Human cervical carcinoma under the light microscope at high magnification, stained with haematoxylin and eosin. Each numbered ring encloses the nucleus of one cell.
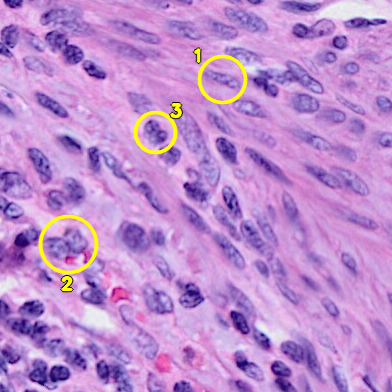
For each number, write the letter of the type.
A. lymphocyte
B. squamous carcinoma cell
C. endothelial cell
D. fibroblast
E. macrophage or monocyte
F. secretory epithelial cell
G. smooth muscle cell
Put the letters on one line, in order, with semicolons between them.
G; C; A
